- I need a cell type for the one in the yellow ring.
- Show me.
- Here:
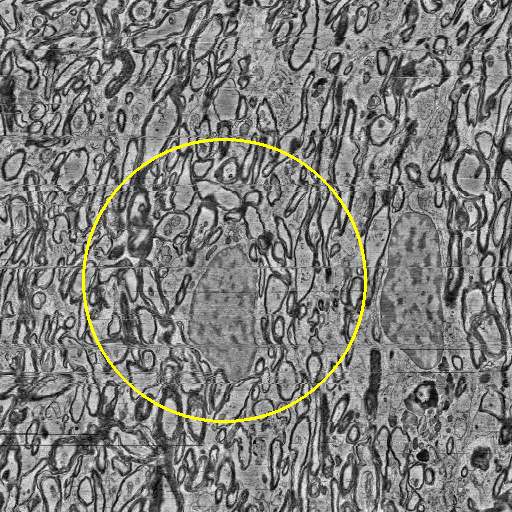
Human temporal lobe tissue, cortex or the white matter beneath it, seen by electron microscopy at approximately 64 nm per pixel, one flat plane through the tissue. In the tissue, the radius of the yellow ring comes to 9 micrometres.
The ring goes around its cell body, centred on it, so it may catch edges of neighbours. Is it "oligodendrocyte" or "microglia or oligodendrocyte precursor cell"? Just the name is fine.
oligodendrocyte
